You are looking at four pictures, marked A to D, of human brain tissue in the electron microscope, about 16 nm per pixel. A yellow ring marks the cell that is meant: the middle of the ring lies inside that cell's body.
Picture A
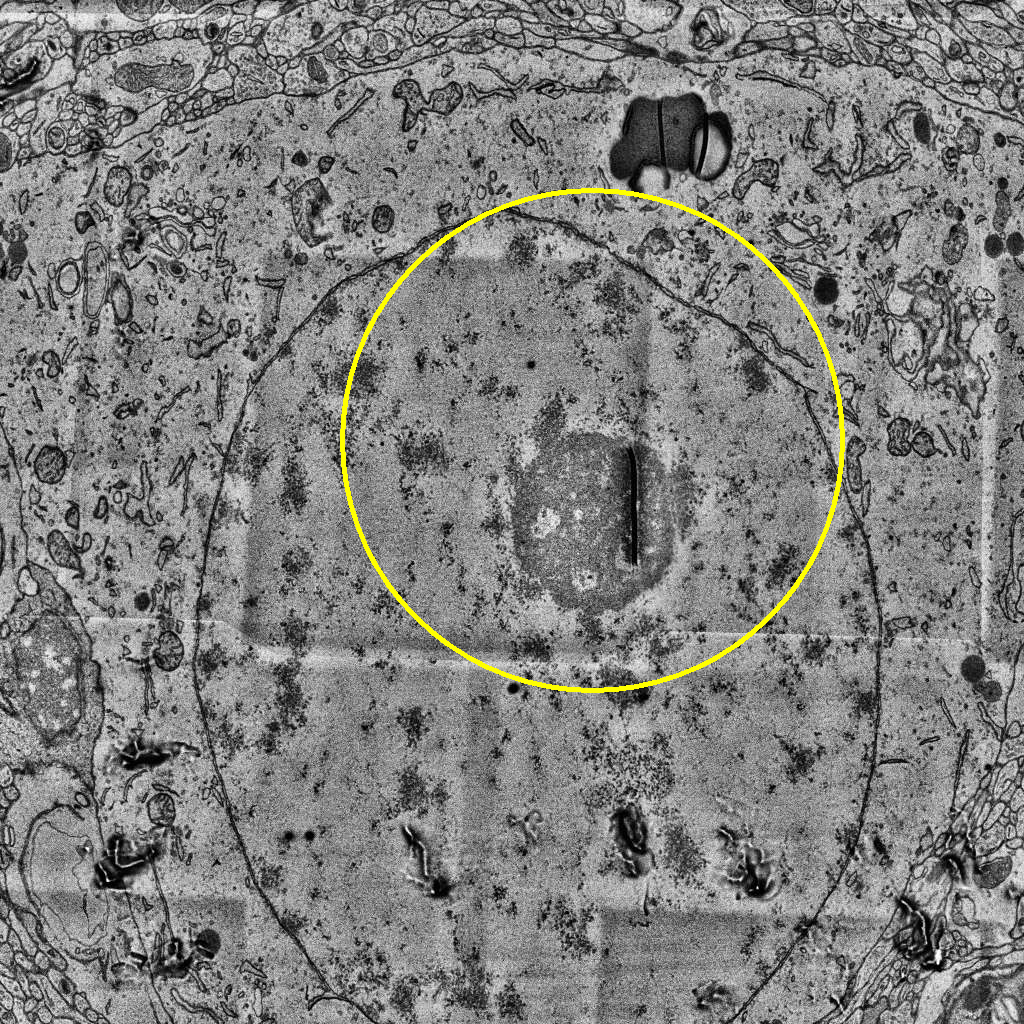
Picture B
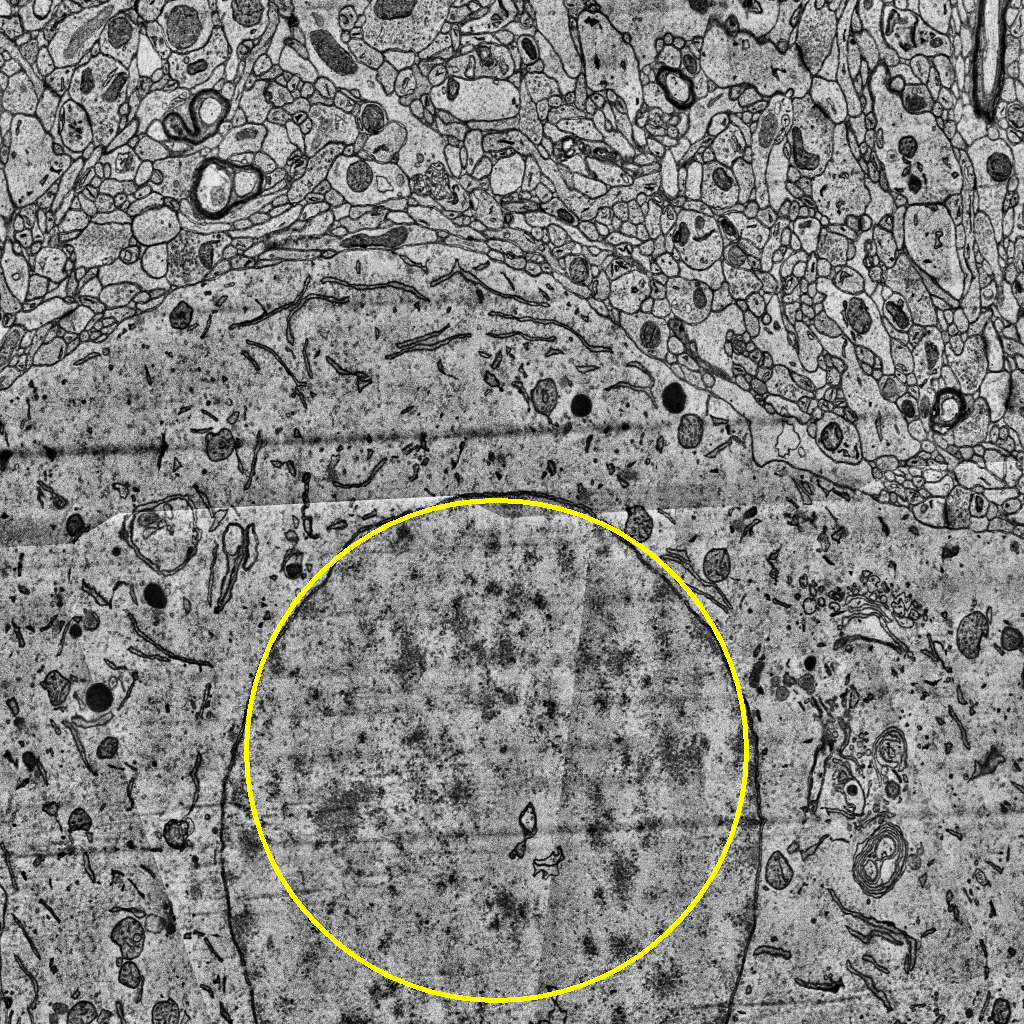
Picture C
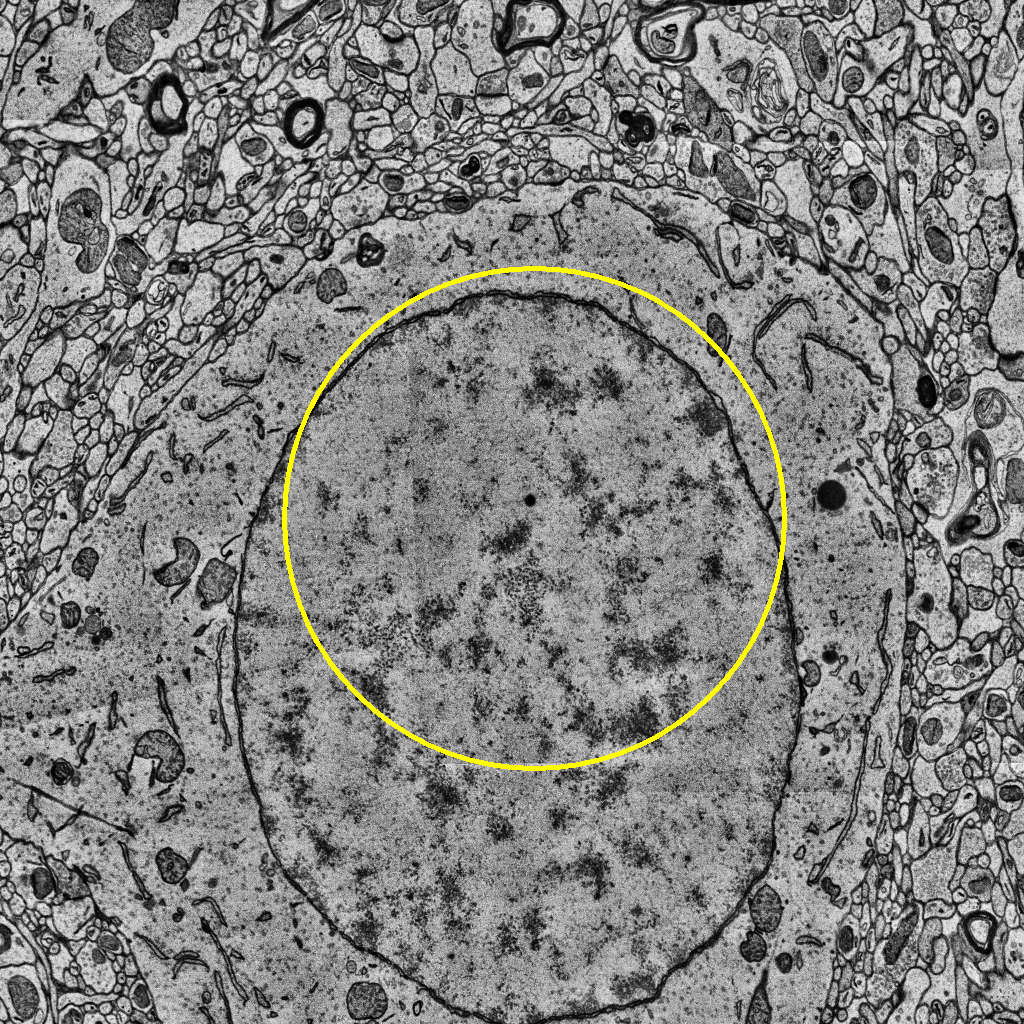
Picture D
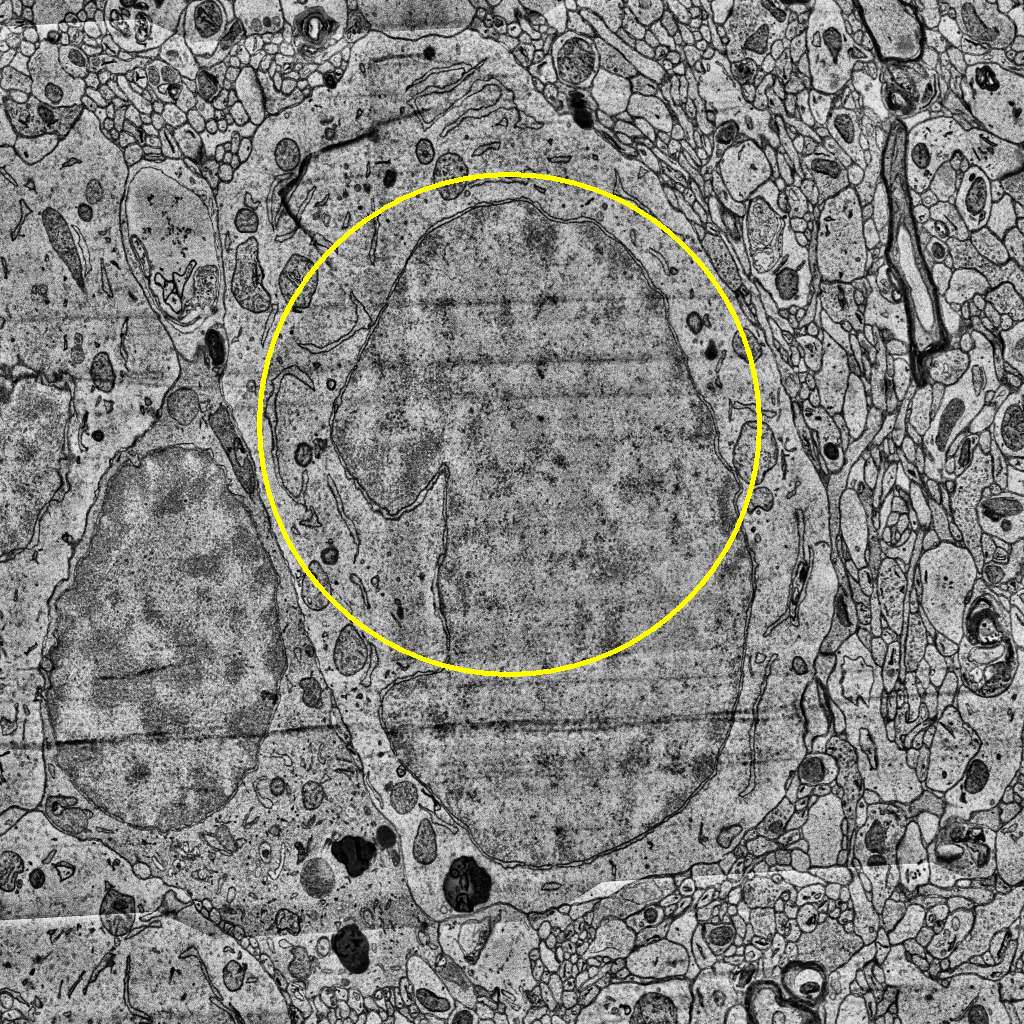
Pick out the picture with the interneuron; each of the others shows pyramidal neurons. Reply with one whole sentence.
The cell in picture D is the interneuron.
